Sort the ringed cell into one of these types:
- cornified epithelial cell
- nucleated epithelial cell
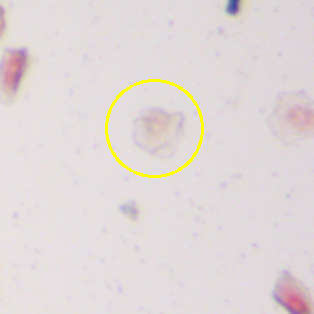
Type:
nucleated epithelial cell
